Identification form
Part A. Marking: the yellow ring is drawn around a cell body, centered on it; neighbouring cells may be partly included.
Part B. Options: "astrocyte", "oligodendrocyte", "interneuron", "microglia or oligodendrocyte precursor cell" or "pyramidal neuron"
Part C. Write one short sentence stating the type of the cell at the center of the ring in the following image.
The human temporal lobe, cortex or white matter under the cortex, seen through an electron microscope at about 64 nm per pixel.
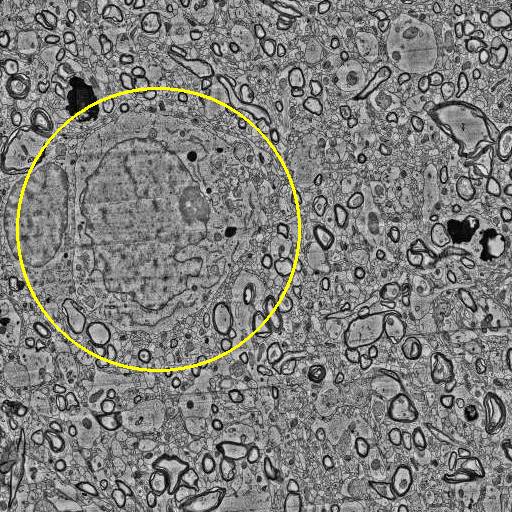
The center of the ring holds an interneuron.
